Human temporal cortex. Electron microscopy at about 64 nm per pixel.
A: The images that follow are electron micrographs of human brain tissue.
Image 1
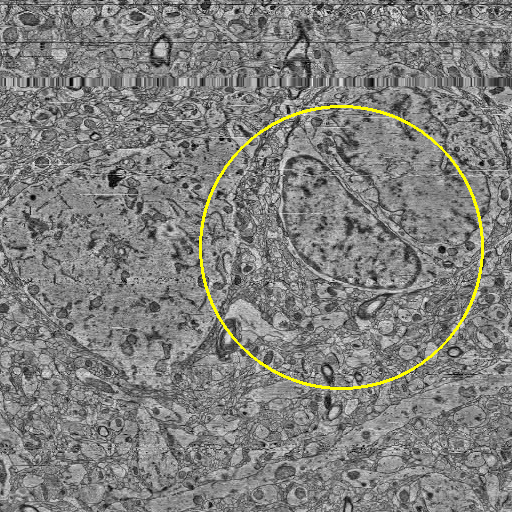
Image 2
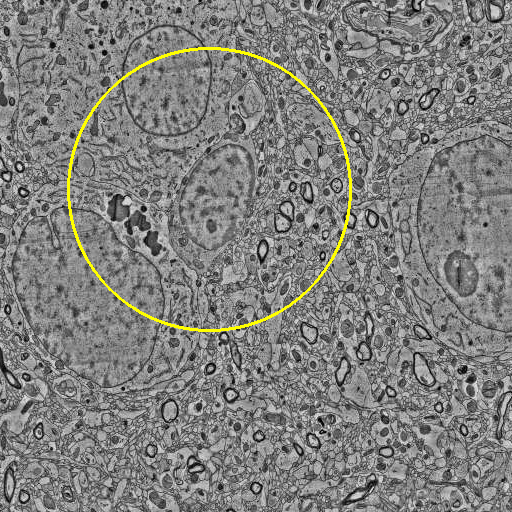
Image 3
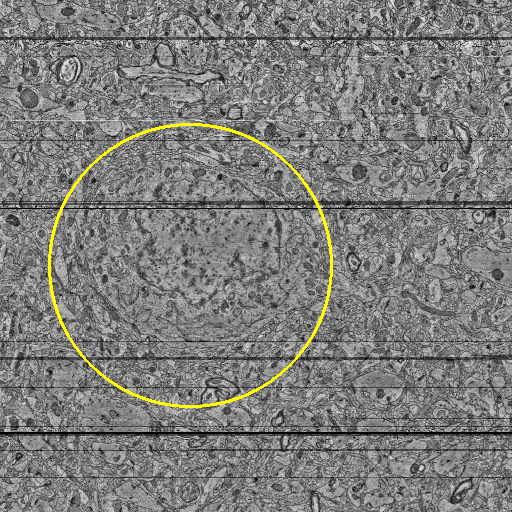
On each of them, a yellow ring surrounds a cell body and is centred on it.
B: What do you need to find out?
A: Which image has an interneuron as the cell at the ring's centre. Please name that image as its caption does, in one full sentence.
Image 3 is the one whose ring has the sought cell at its centre.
